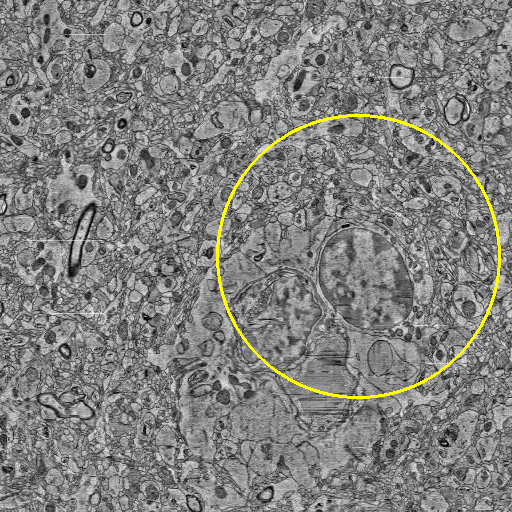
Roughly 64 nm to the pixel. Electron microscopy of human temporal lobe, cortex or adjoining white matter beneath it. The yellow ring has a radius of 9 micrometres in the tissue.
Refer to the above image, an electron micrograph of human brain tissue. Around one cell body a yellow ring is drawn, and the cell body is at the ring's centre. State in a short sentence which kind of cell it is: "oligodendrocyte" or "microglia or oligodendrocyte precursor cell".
The centre of the ring falls on a microglial cell or oligodendrocyte precursor cell.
